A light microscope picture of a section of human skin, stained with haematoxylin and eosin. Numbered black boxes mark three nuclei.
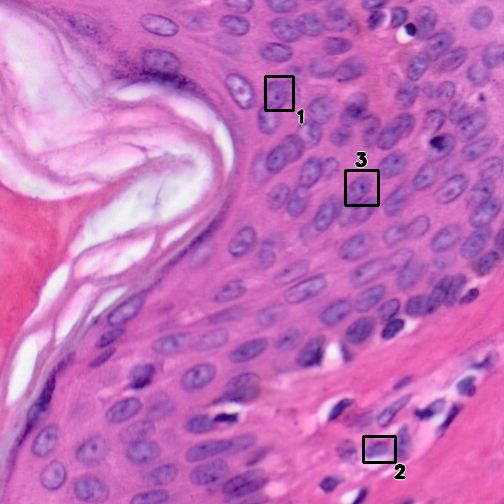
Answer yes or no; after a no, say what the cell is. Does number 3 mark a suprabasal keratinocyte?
Yes.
